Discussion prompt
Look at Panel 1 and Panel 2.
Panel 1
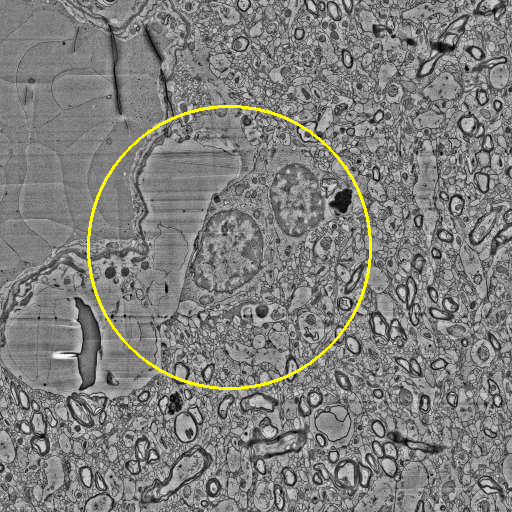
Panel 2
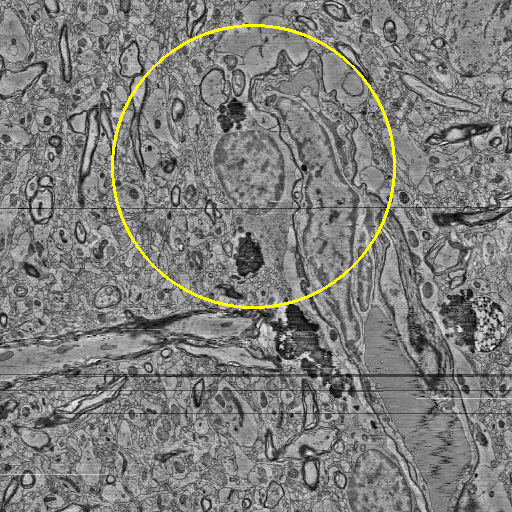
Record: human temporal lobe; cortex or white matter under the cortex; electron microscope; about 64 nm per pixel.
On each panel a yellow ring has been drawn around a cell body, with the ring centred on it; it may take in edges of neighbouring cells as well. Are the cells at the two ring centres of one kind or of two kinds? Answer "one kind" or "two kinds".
one kind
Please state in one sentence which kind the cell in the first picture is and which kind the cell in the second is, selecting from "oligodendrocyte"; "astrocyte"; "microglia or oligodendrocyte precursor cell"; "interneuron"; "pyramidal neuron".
The ring centre holds an oligodendrocyte in each of the two pictures.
